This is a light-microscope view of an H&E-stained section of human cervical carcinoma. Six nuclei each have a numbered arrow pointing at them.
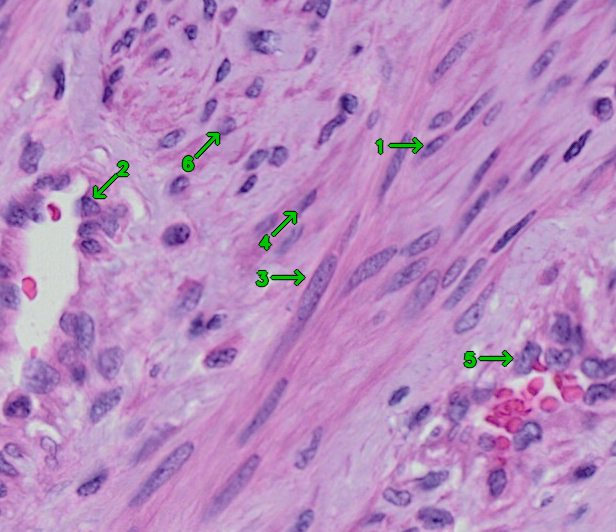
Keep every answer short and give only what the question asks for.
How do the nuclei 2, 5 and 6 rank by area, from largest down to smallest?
5, 2, 6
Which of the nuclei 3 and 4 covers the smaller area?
4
